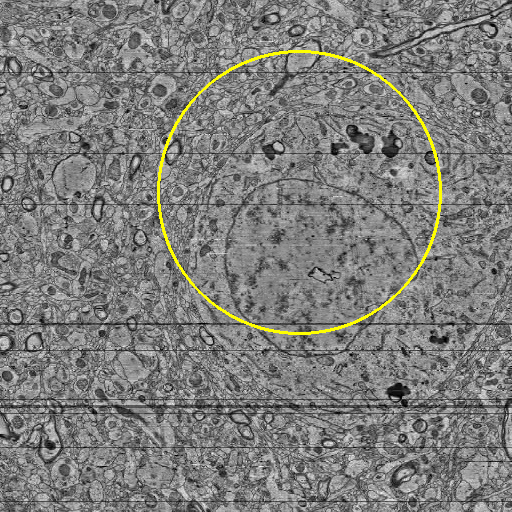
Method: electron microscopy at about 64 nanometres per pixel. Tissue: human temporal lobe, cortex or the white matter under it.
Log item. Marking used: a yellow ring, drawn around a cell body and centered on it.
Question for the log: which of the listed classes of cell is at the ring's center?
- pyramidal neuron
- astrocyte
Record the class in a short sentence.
At the center of the ring lies a pyramidal neuron.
